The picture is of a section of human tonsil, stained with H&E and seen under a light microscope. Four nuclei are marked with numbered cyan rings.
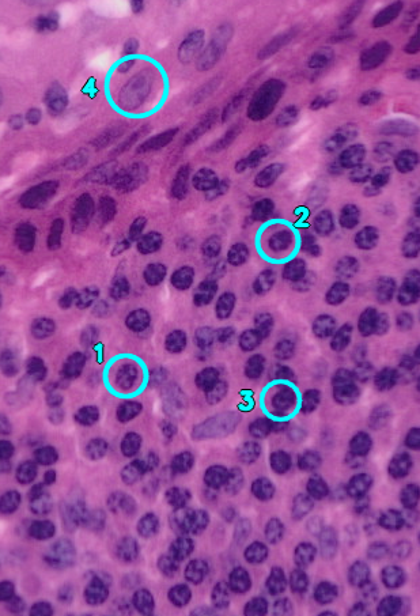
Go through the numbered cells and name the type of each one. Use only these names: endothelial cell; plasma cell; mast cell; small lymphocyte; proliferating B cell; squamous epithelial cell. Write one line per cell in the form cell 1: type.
cell 1: plasma cell
cell 2: plasma cell
cell 3: plasma cell
cell 4: squamous epithelial cell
